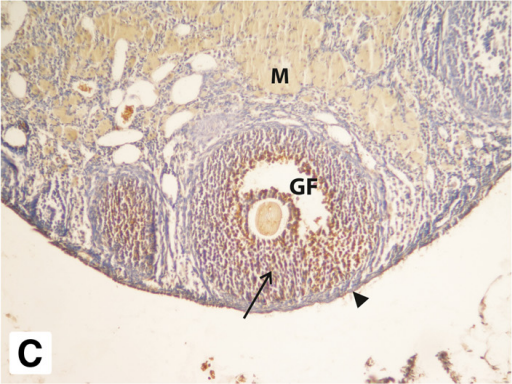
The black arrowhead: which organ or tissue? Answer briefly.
ovarian surface epithelium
